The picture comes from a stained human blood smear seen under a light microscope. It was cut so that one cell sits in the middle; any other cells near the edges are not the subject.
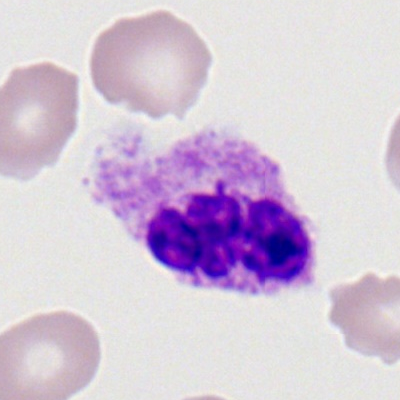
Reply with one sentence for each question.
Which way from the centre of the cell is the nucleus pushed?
Toward the lower right of the cell lies its nucleus.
